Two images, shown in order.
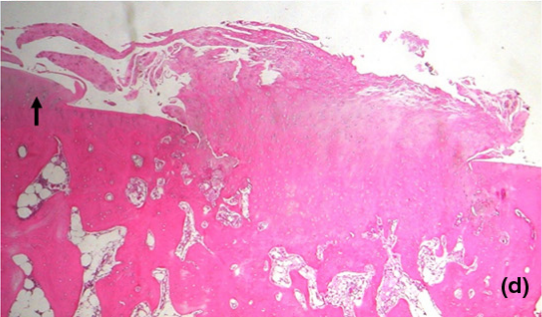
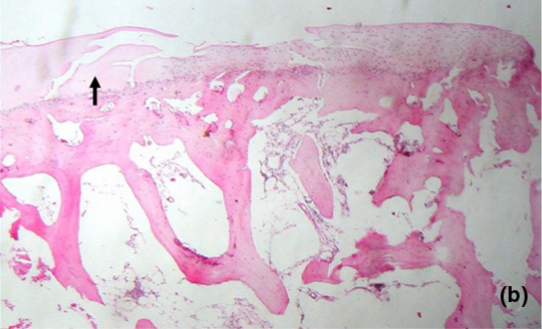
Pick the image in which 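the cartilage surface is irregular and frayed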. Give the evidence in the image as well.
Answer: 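First image: the surface tissue at the right is heaped up, with ragged flaps and frayed strands. That points to this answer: the first image.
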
